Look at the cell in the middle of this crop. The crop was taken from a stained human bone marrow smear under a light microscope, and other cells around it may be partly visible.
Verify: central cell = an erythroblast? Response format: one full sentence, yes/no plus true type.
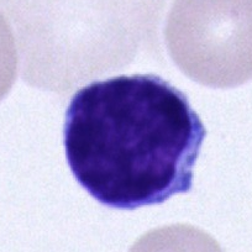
No, in the centre of the crop lies a lymphocyte, not an erythroblast.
